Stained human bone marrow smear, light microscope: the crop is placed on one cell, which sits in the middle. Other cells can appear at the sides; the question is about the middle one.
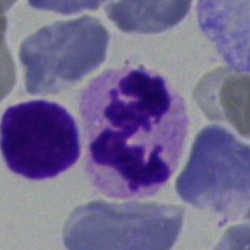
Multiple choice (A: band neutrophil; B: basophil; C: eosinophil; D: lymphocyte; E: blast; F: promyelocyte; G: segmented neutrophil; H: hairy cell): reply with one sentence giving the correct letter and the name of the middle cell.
That middle cell is a segmented neutrophil, and option G is therefore correct.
